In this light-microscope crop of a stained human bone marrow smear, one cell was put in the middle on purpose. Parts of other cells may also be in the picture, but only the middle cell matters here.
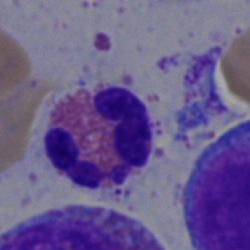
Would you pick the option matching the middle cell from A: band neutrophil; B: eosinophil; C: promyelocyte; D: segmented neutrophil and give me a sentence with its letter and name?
The cell in the centre of the crop is an eosinophil, so option B is the correct one.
